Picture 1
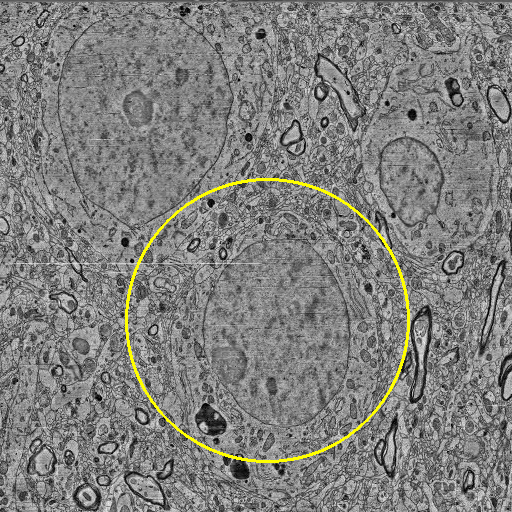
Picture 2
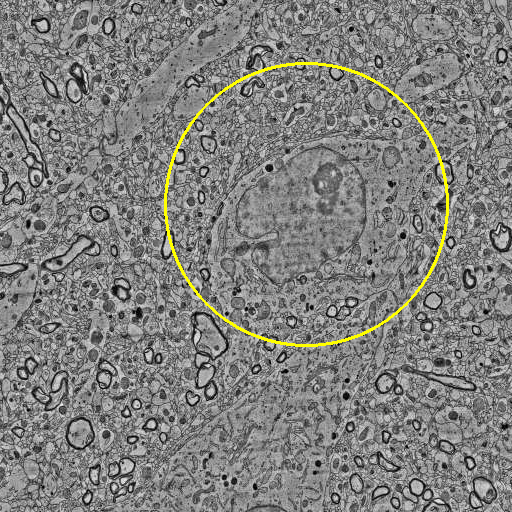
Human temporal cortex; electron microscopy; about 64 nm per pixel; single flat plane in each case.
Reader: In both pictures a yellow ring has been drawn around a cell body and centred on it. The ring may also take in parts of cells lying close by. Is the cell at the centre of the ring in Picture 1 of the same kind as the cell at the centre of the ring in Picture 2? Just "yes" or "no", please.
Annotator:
yes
